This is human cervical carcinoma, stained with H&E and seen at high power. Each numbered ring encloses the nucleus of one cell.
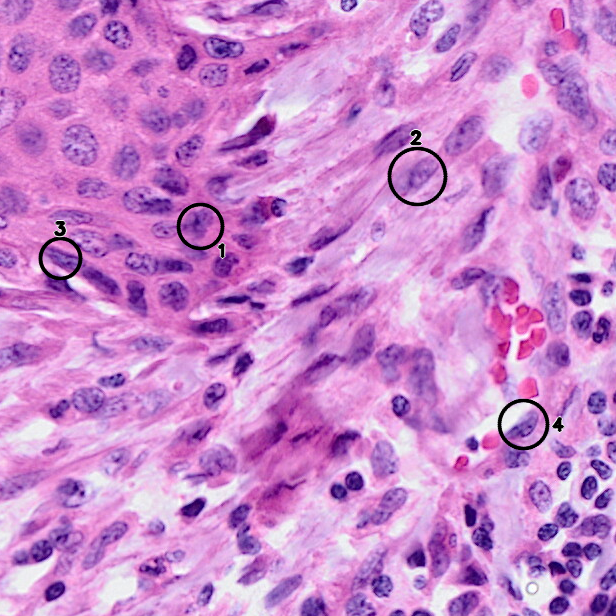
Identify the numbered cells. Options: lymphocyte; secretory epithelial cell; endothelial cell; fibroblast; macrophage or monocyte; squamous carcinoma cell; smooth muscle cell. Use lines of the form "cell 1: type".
cell 1: squamous carcinoma cell
cell 2: fibroblast
cell 3: squamous carcinoma cell
cell 4: endothelial cell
